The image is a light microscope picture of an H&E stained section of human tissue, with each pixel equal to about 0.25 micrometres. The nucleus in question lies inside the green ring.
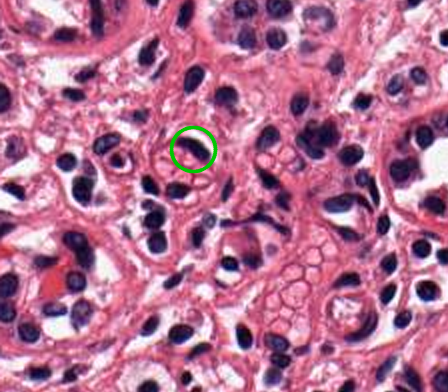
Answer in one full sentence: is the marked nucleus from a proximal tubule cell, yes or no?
No, the marked nucleus is not that of a proximal tubule cell but that of a supporting cell.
